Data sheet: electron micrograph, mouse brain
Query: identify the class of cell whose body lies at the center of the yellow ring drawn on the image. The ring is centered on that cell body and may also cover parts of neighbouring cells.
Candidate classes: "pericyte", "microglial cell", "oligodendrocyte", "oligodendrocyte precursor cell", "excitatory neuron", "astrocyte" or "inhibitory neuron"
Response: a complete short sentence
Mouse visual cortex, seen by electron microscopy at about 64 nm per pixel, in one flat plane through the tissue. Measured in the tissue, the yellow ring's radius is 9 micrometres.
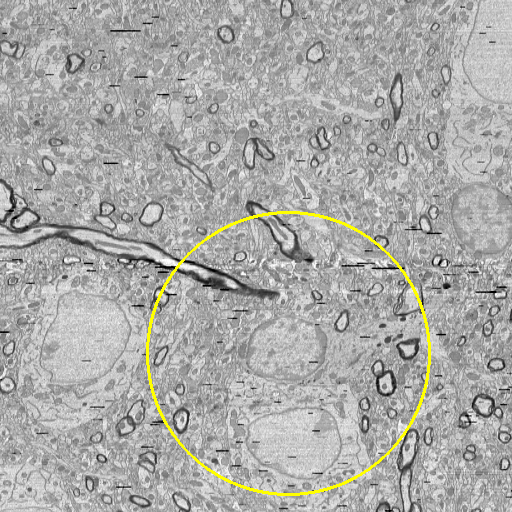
At the center of the ring lies an oligodendrocyte.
